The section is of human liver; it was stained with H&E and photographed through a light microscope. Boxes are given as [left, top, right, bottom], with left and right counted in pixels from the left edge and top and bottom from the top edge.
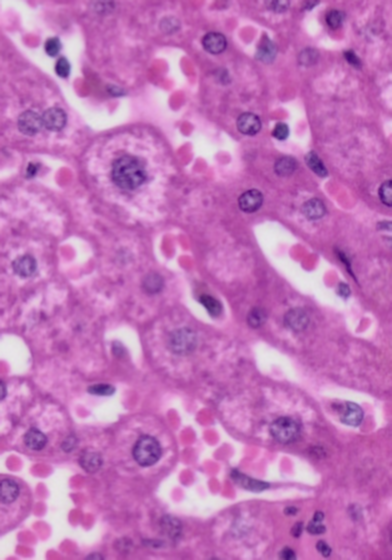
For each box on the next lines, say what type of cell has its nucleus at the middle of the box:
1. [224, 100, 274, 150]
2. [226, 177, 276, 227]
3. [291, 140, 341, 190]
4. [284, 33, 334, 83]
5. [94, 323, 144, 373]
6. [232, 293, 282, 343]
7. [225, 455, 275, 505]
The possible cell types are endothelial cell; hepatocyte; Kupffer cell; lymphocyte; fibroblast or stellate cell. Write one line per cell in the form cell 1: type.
cell 1: hepatocyte
cell 2: hepatocyte
cell 3: fibroblast or stellate cell
cell 4: hepatocyte
cell 5: Kupffer cell
cell 6: hepatocyte
cell 7: Kupffer cell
